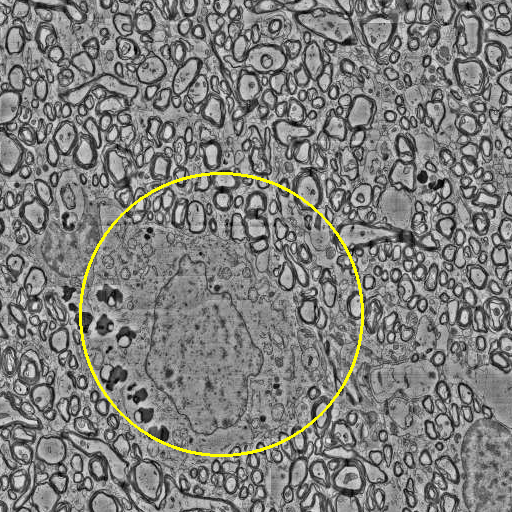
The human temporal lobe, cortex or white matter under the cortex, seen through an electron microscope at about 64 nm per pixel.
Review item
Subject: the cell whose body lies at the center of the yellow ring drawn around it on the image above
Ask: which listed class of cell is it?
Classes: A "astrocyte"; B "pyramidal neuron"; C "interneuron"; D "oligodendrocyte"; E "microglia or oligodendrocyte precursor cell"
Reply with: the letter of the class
B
